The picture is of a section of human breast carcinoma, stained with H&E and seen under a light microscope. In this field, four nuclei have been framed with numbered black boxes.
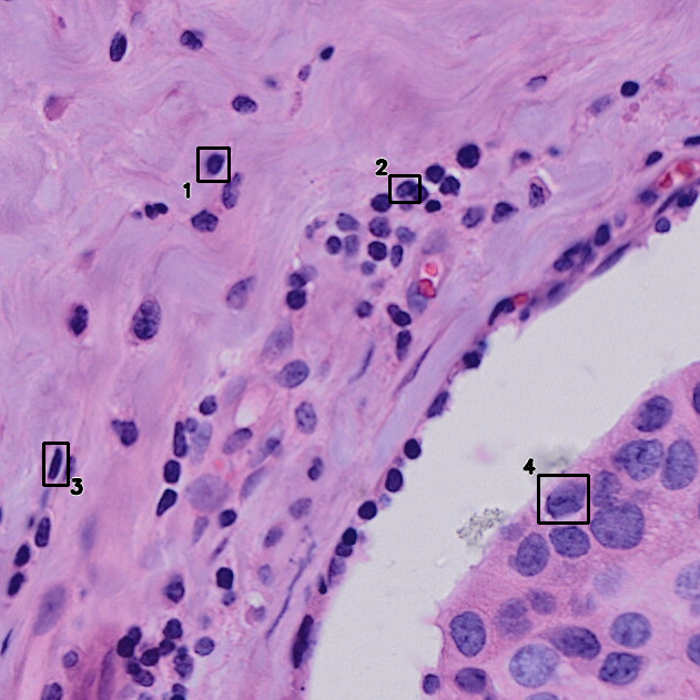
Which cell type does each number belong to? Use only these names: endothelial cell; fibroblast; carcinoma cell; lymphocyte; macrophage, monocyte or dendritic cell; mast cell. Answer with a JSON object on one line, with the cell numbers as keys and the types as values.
{"1": "lymphocyte", "2": "lymphocyte", "3": "lymphocyte", "4": "carcinoma cell"}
